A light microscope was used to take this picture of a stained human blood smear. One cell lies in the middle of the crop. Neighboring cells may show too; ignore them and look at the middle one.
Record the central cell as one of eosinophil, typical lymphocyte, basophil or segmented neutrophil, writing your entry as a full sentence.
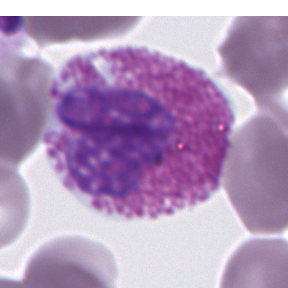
This crop has an eosinophil at its centre.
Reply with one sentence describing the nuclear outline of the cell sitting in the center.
Segmentation of the nucleus into two or more lobes is the finding.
